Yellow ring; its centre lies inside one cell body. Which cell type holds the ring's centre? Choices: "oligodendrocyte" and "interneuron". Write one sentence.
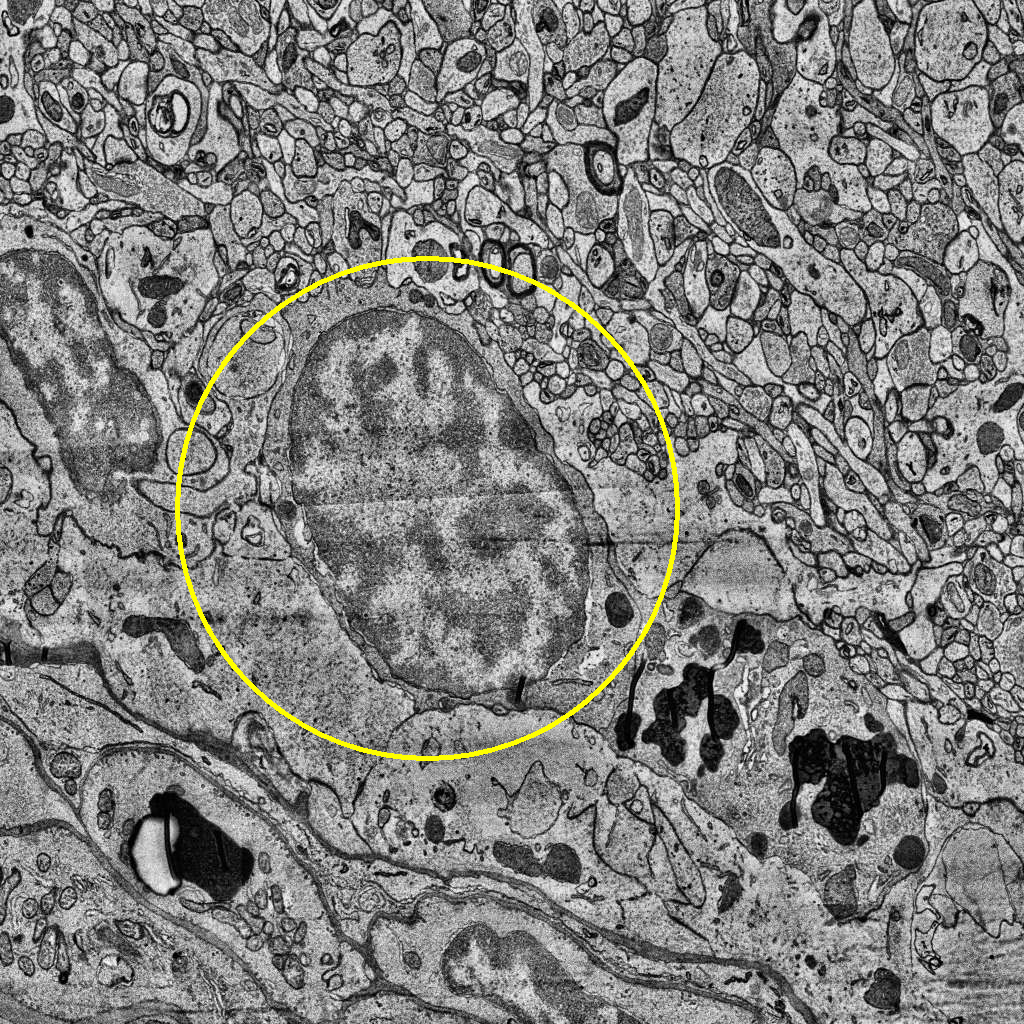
At the centre of the ring sits an oligodendrocyte.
